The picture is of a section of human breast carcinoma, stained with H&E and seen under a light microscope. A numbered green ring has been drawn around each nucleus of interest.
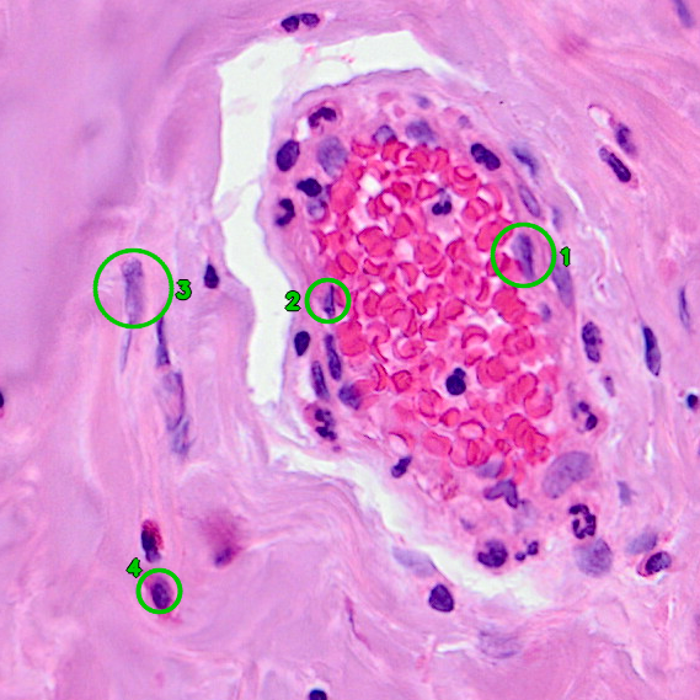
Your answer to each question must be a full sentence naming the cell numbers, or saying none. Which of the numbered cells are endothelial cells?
The cells referred to by numbers 1 and 2 are endothelial cells.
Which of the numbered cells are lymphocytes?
Of all the numbered cells, not one is counted among the lymphocytes.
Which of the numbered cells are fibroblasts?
As for the numbered cells, only cell 3 is a fibroblast.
